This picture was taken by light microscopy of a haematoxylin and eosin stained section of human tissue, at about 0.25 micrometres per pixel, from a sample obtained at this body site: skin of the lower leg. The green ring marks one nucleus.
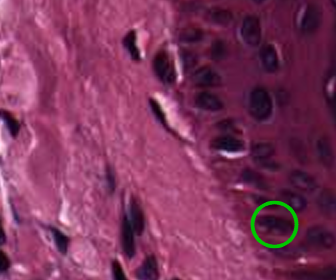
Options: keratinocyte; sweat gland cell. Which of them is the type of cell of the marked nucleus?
keratinocyte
